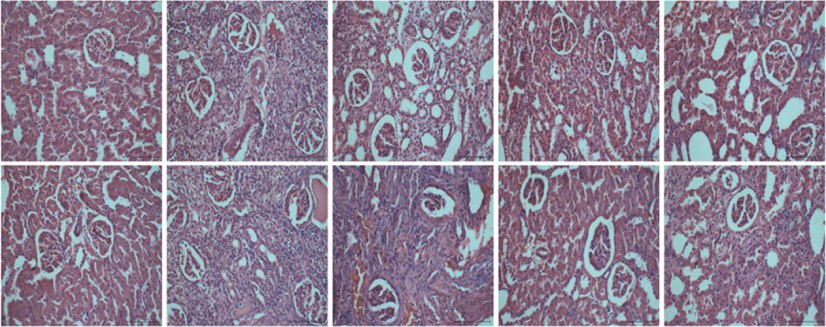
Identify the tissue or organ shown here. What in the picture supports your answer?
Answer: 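Kidney. Round glomerular tufts lie in clear capsular spaces. Many tubular profiles with lumens surround the glomeruli.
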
